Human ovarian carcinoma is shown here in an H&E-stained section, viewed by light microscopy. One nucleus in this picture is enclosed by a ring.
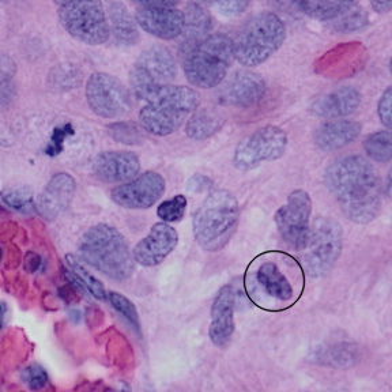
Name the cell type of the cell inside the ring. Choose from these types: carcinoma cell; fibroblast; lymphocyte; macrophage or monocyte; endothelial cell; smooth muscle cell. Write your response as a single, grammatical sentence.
Placed in its cell category, the cell inside the ring is a lymphocyte.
